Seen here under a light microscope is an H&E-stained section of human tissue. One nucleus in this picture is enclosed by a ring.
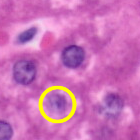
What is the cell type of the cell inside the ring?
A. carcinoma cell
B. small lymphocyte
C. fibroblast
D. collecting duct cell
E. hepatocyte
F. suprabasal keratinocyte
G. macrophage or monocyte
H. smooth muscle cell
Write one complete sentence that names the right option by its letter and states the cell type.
According to option E, the cell inside the ring is a hepatocyte, and this is correct.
